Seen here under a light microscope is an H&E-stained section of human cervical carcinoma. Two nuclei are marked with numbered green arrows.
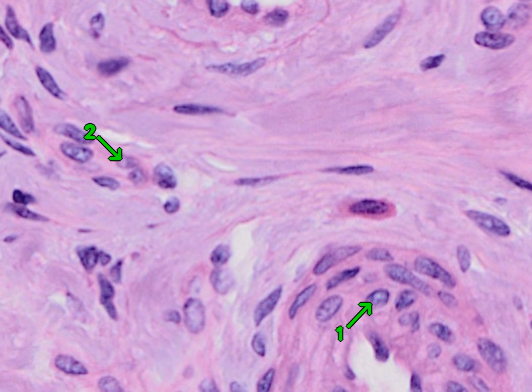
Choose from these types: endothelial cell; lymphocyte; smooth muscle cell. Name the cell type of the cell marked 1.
smooth muscle cell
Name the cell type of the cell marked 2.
endothelial cell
